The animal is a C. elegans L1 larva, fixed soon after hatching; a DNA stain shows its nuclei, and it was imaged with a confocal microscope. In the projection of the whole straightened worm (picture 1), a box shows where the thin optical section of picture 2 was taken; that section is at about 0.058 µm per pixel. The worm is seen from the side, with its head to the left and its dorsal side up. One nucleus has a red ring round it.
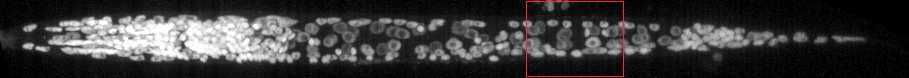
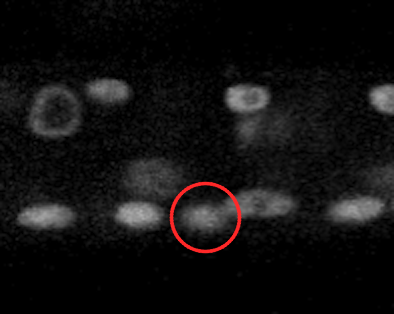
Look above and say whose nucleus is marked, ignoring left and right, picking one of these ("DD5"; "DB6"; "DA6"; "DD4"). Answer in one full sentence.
This is the nucleus of DA6, a neuron.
